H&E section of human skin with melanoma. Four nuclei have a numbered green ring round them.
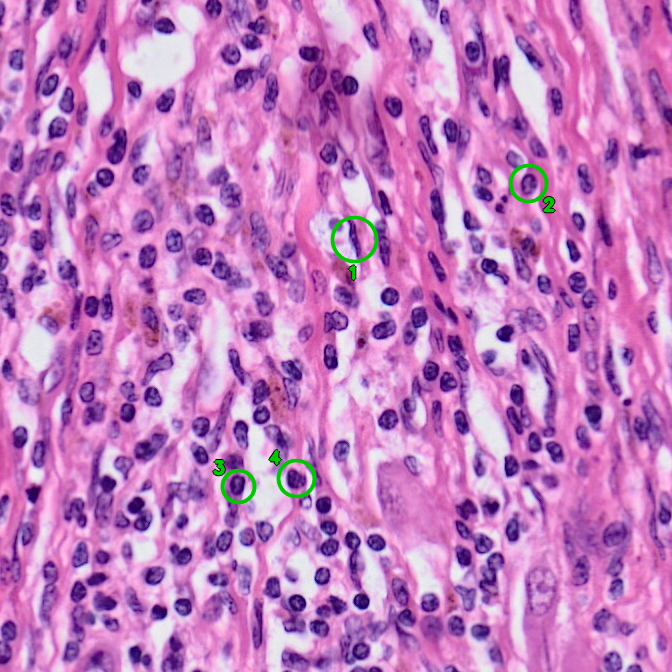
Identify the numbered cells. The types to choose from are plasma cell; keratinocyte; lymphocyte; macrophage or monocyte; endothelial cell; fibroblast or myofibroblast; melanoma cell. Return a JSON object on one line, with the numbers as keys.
{"1": "fibroblast or myofibroblast", "2": "plasma cell", "3": "plasma cell", "4": "lymphocyte"}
